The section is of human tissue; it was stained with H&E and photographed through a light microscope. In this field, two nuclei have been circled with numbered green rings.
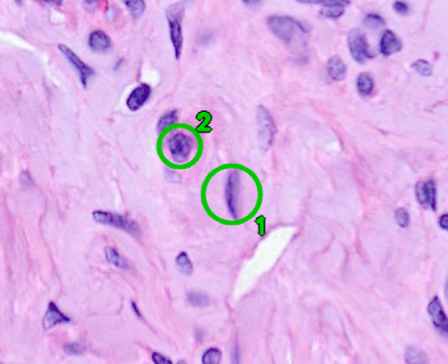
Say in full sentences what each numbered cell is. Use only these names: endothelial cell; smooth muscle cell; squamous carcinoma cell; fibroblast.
Cell 1 is a fibroblast and cell 2 is an endothelial cell.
